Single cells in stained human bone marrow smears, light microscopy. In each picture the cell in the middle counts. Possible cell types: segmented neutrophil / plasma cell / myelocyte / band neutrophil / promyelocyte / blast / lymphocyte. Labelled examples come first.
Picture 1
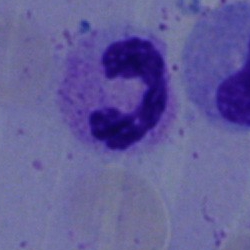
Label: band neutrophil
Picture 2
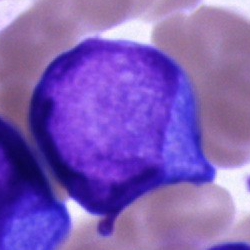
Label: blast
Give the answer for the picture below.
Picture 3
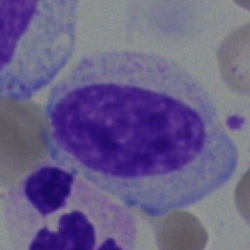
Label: myelocyte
